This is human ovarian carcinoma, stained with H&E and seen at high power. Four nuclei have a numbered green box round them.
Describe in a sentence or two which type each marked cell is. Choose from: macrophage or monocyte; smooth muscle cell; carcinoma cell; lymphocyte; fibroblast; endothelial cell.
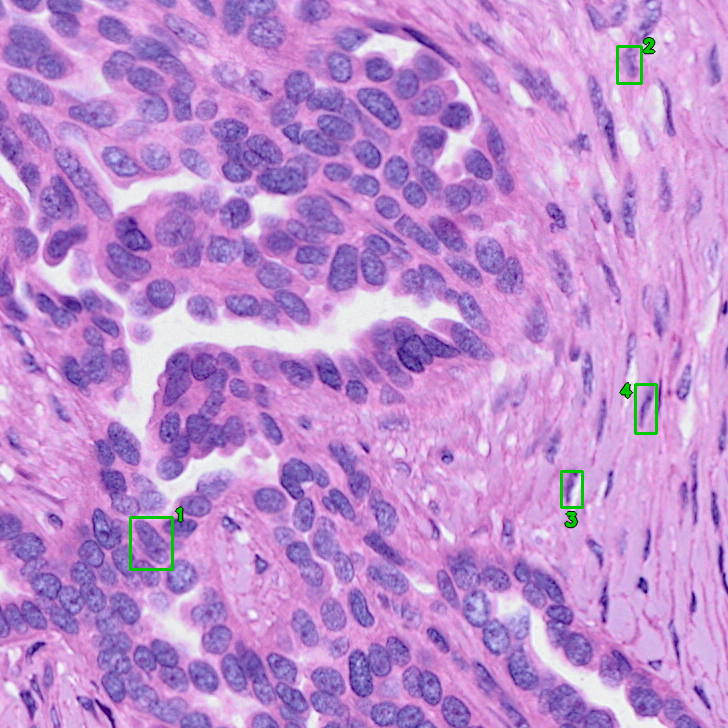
Cell 1 is a carcinoma cell, cell 2 is a fibroblast, cell 3 is a fibroblast and cell 4 is a fibroblast.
